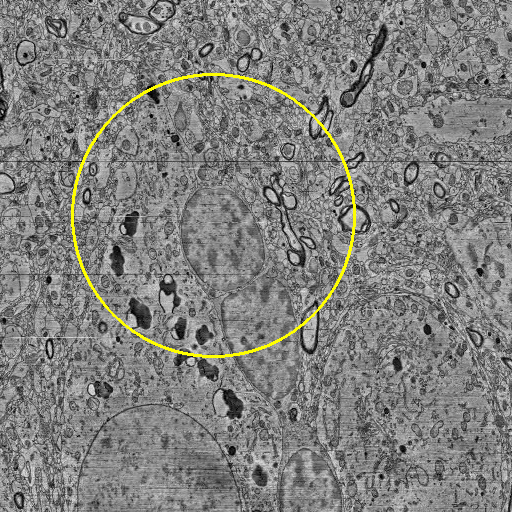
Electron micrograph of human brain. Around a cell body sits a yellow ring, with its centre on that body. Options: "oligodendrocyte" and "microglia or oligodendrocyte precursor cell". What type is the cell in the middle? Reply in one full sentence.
The cell sitting at the centre of the yellow ring is an oligodendrocyte.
